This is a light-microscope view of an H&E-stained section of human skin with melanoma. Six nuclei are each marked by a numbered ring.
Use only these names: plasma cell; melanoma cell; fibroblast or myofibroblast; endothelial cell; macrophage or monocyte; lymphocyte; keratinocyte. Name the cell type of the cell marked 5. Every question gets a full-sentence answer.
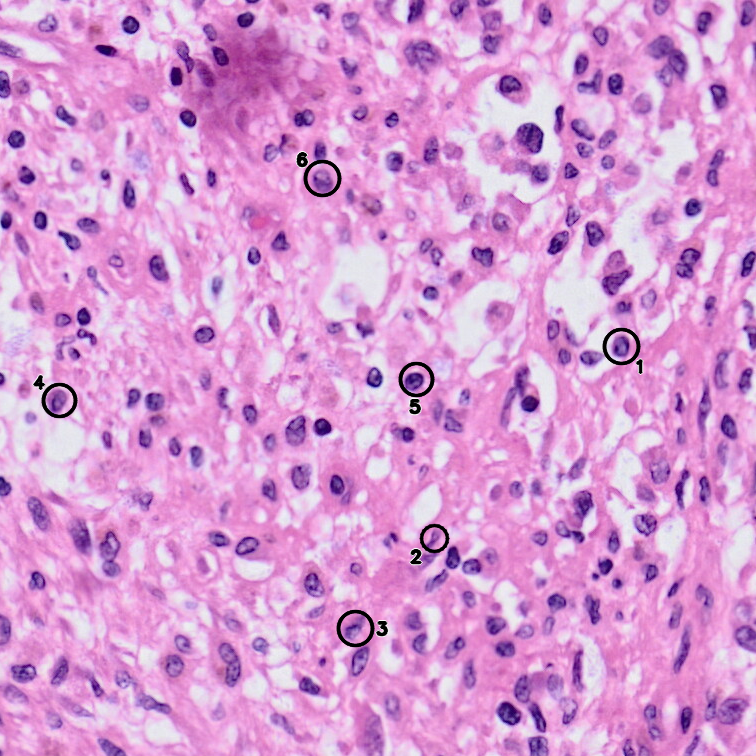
Regarding cell 5, this one is a lymphocyte.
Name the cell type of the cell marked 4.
The correct answer for cell 4 is a macrophage or monocyte.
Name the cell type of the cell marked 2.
The label 2 in this section denotes a fibroblast or myofibroblast.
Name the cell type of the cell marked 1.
The cell that is numbered 1 is a lymphocyte.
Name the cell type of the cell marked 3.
What the number 3 marks in this field is a macrophage or monocyte.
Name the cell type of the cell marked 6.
The numbered cell 6 in this field is a macrophage or monocyte.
